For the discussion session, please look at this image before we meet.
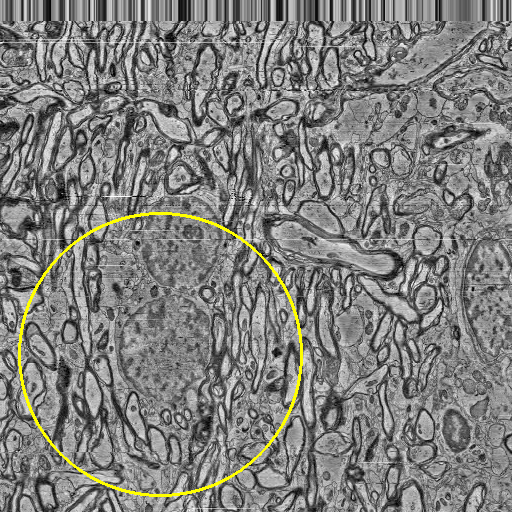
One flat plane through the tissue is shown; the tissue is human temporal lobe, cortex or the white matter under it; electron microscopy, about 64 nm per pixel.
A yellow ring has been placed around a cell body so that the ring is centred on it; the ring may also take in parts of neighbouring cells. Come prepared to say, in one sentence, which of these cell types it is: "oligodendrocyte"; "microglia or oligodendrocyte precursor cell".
The cell centred in the ring is an oligodendrocyte.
